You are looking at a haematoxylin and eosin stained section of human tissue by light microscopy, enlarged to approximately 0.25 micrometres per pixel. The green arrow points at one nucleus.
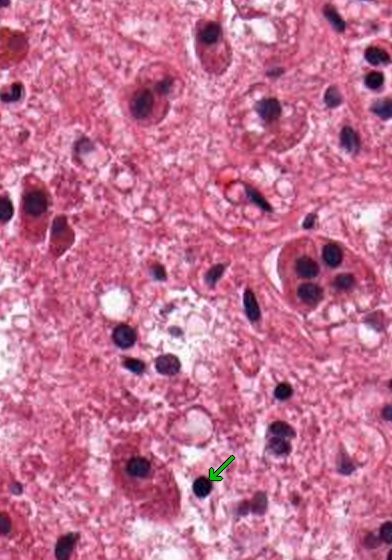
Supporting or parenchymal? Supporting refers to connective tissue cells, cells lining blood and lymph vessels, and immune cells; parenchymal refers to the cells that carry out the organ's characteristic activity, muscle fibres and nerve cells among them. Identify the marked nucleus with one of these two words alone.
supporting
